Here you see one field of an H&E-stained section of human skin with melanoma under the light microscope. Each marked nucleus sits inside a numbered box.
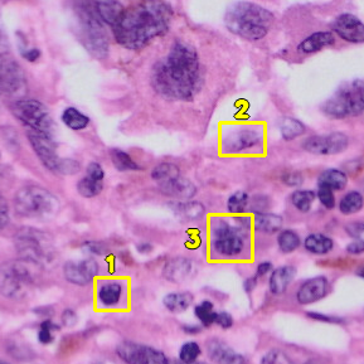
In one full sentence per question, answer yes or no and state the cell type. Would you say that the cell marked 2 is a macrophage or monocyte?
Yes, the cell identified by number 2 is a macrophage or monocyte.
